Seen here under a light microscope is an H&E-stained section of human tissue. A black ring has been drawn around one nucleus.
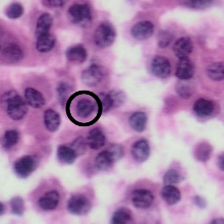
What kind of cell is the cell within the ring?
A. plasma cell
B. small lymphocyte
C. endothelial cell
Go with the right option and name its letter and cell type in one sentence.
The right pick is option A; the cell within the ring is a plasma cell.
